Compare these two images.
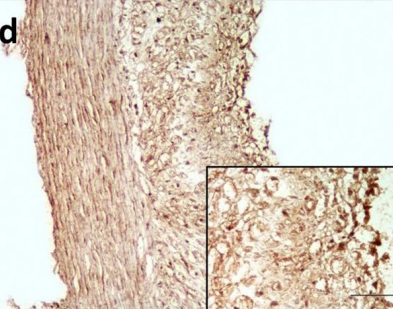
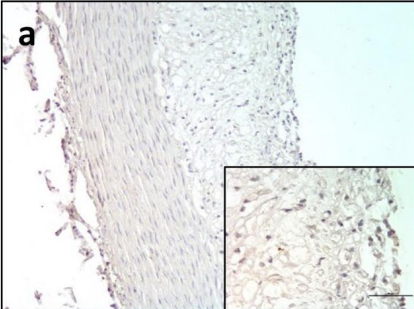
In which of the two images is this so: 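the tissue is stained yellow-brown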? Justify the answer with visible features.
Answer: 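Second image: the wall and the lesion are pale with only blue-grey nuclei. First image: the wall and the lesion are diffusely brown, darkest in the loose luminal layer.
The first image.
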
